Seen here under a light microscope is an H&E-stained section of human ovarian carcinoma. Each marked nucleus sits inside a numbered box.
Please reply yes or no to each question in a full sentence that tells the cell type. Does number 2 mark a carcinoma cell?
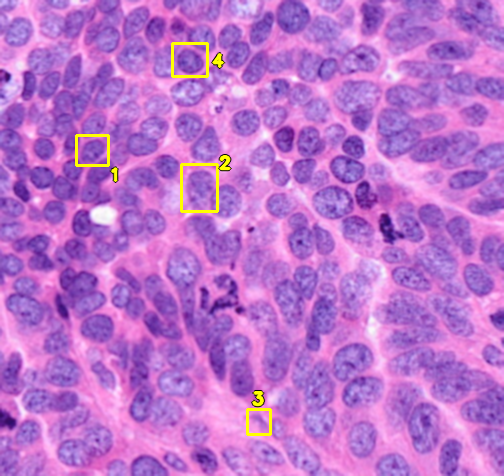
Yes, the cell with its nucleus marked 2 is a carcinoma cell.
